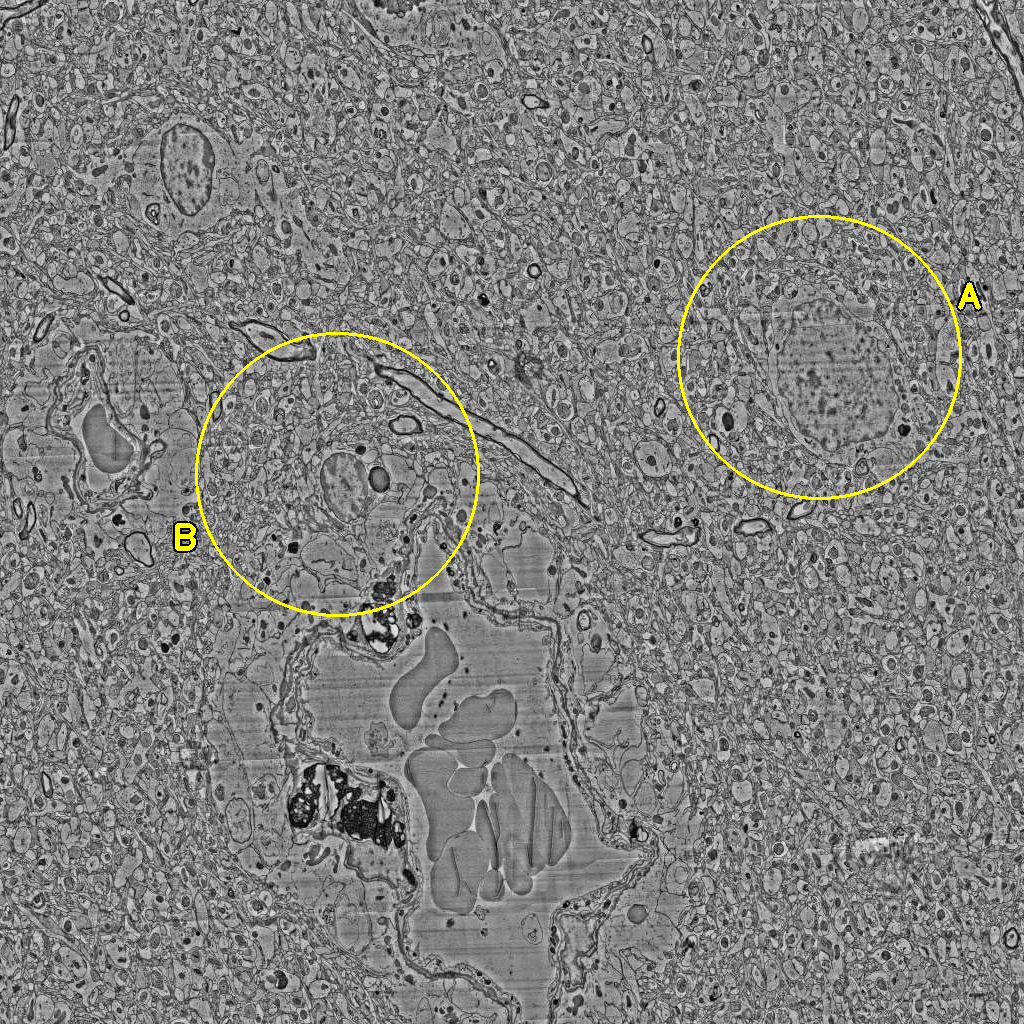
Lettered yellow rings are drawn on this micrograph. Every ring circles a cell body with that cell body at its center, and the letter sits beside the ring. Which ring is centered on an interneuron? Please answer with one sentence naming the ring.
Ring A has it at its center.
